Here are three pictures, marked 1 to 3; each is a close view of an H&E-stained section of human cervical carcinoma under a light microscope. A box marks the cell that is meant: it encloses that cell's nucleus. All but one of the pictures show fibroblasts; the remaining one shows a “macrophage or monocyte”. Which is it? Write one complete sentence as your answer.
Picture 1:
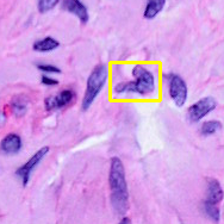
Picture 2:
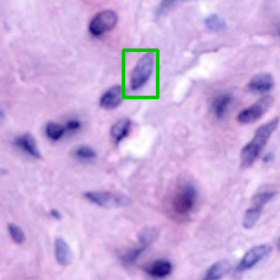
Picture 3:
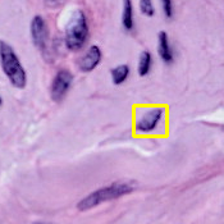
The cell in picture 1 is the “macrophage or monocyte”.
